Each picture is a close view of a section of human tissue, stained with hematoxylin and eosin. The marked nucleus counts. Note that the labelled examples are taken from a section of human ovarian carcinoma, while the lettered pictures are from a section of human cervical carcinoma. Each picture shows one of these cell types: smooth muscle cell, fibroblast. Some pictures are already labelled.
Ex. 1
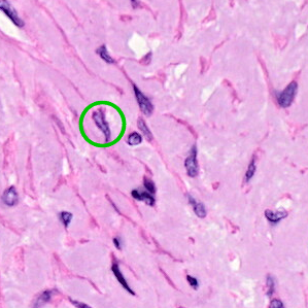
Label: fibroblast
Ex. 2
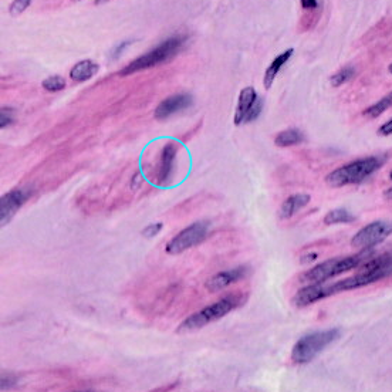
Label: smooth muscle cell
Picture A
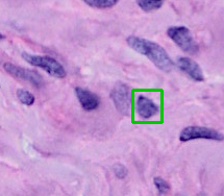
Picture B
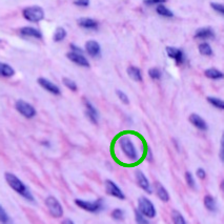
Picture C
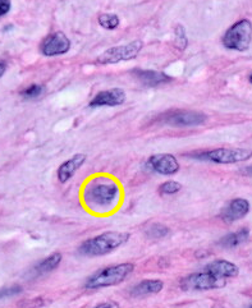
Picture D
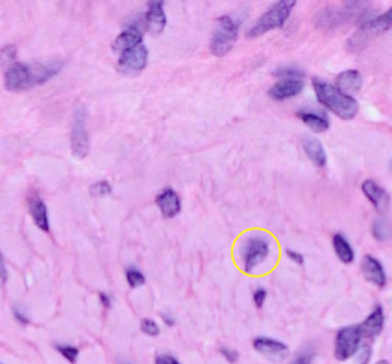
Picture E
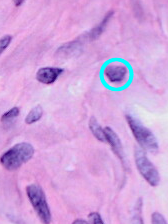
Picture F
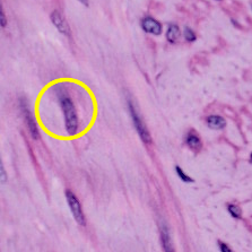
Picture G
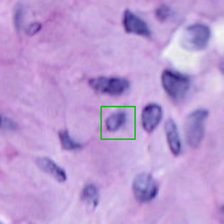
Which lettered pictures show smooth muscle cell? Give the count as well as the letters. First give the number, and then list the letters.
3: B, C, F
